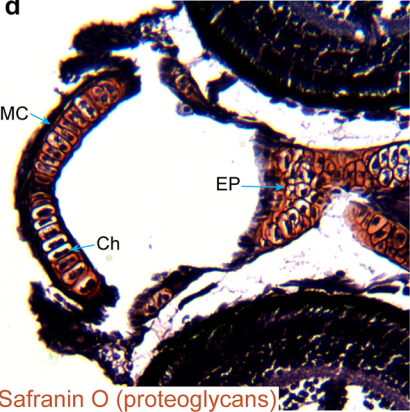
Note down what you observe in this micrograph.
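This section shows cartilage of the jaw and of a plate between the eyes, both made of chondrocytes embedded in an orange-red matrix. In the curved jaw rod the cells line up in a single stacked row, each bounded by matrix. In the plate they are more crowded and lie in several rows. Dark pigment of the eyes frames the view above and below.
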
